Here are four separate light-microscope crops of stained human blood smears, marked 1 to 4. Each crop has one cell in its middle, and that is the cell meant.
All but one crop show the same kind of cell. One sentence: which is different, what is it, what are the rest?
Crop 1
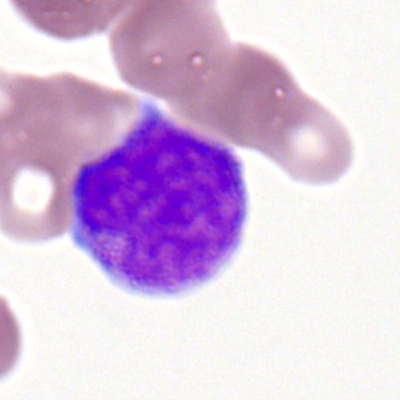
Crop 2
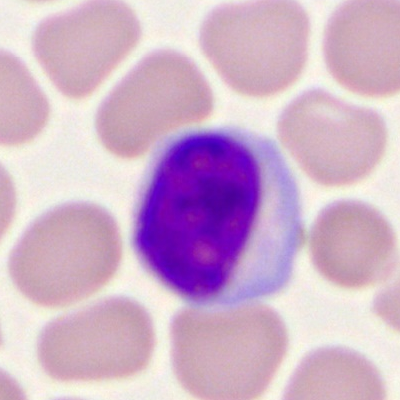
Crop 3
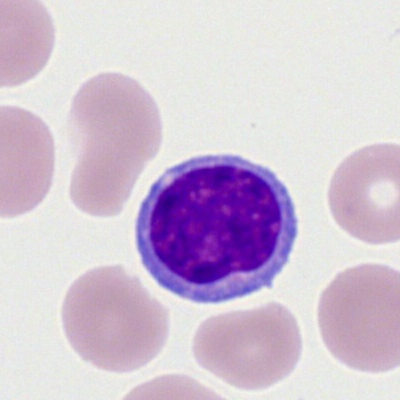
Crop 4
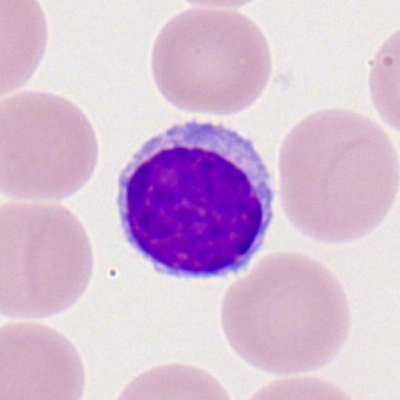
Crop 1 alone shows a myeloblast; the other crops are all lymphocytes.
